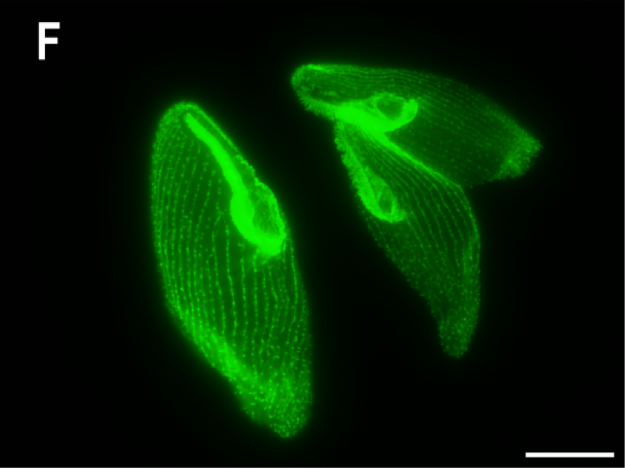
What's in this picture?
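Thin green lines run lengthwise in parallel rows across each cell surface. A thick, brightly green curved band starts near the front end and runs along one side toward the middle of each cell. The rows of lines end together at the narrow rear of each cell.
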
